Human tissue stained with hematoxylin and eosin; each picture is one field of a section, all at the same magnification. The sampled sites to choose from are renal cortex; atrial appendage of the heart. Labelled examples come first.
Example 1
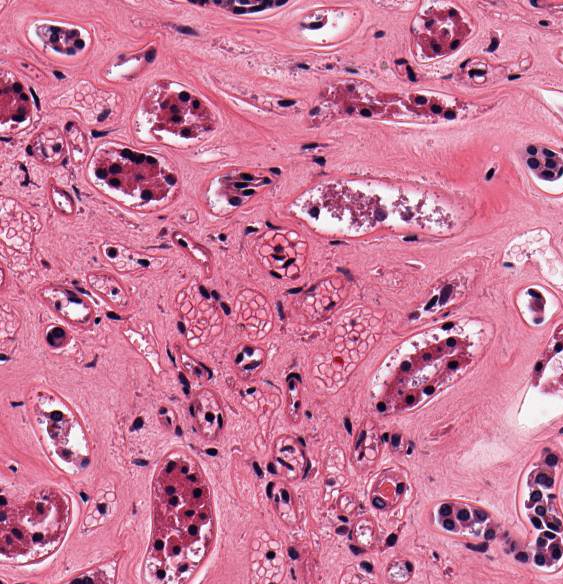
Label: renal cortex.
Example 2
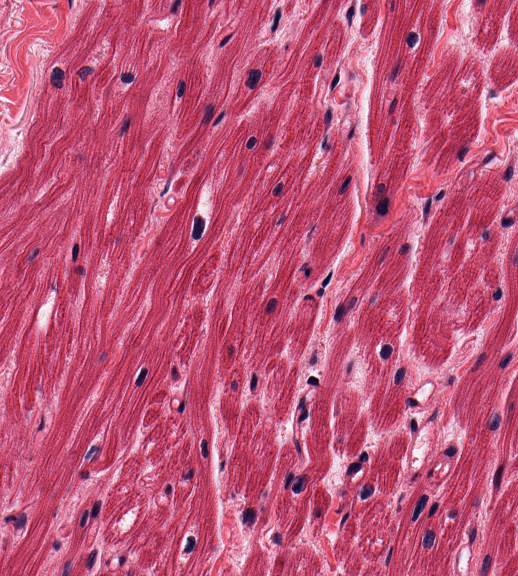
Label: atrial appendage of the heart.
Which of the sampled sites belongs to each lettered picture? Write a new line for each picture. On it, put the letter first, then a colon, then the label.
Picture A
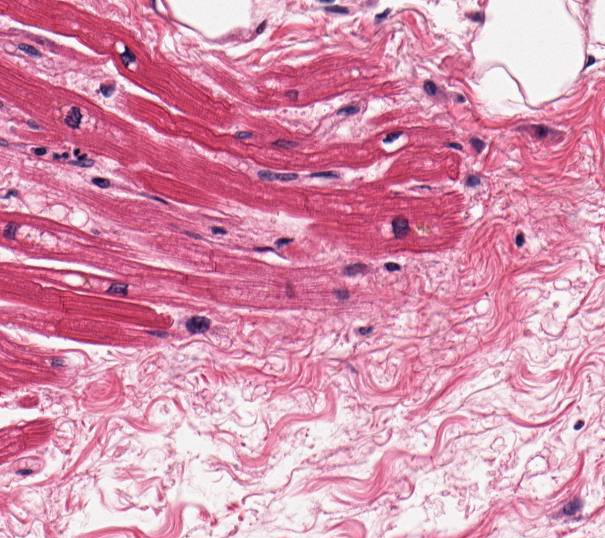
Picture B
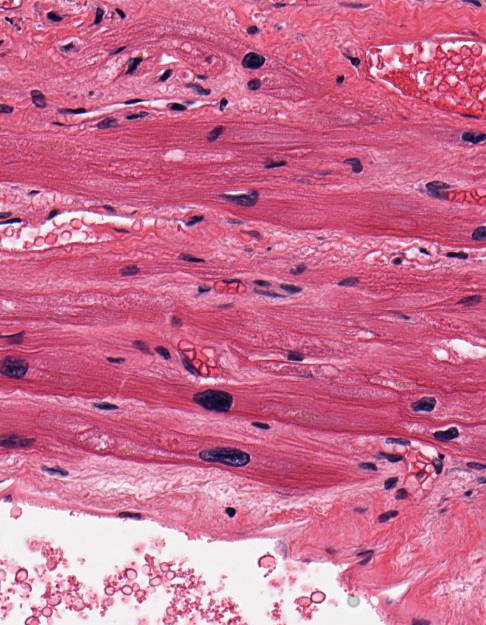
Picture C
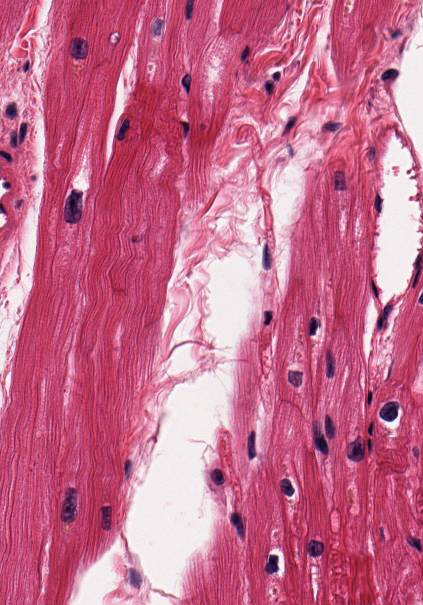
A: atrial appendage of the heart.
B: atrial appendage of the heart.
C: atrial appendage of the heart.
